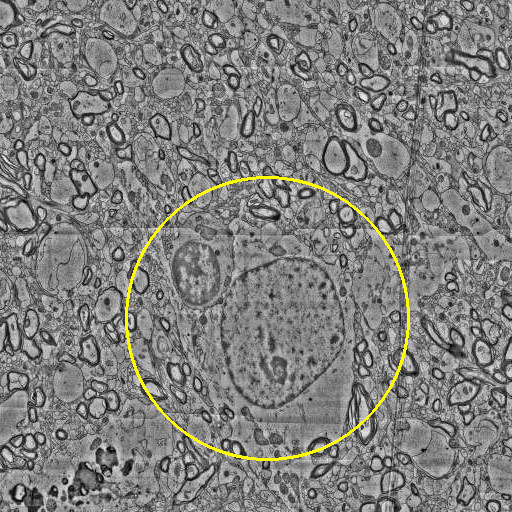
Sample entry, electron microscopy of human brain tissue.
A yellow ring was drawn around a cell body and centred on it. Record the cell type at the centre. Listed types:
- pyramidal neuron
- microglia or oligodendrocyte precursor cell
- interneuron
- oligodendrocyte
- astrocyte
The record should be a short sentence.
The cell at the ring's centre is an astrocyte.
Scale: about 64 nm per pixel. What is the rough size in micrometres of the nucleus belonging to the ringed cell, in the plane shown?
Approximately 10 by 8 micrometers in this plane.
